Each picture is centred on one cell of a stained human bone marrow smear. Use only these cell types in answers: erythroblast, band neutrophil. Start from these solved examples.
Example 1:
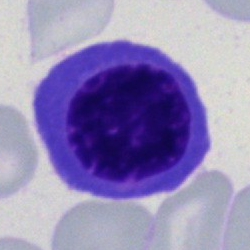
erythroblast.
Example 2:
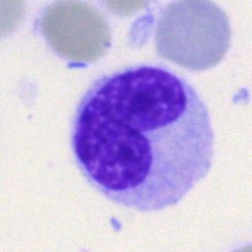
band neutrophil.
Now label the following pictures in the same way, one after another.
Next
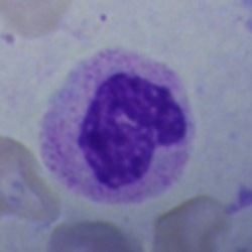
band neutrophil.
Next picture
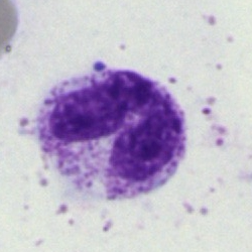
band neutrophil.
